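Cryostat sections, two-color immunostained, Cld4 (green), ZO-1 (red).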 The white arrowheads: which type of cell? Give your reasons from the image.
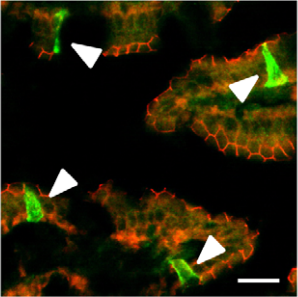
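Single scattered green cells lie within an epithelium outlined by a red honeycomb network. The green cells are elongated, narrowing toward the apical surface.
Answer: spindle-shape solitary epithelial cells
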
